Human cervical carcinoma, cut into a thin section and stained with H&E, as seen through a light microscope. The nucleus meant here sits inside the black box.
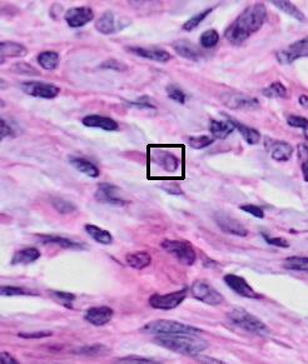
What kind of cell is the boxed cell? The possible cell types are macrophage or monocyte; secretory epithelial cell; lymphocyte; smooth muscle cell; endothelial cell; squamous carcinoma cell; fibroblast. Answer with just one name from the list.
macrophage or monocyte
